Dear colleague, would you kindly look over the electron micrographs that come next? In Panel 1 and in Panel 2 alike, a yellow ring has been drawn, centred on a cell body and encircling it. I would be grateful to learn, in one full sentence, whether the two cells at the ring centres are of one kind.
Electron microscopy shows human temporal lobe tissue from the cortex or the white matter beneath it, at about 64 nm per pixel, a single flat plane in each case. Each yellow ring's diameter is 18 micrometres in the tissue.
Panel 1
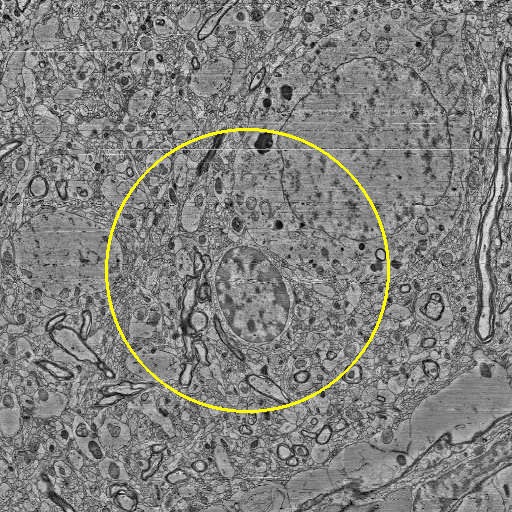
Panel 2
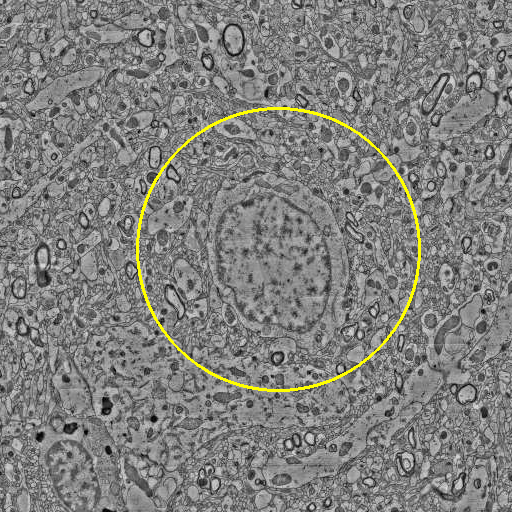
No, the cells in the middle of the rings in the two panels are of two kinds.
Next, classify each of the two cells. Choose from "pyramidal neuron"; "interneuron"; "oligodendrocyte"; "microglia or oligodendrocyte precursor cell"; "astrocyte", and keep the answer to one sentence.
In the first picture it is a microglial cell or oligodendrocyte precursor cell; in the second it is an interneuron.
